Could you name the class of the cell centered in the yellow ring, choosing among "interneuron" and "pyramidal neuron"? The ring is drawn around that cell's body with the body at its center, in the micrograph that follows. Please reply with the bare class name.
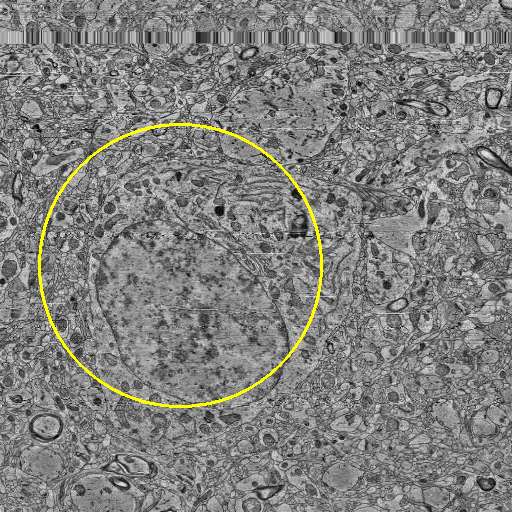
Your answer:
interneuron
